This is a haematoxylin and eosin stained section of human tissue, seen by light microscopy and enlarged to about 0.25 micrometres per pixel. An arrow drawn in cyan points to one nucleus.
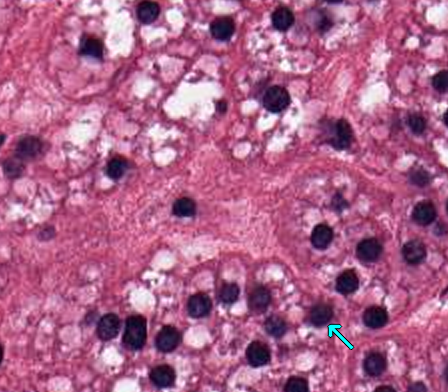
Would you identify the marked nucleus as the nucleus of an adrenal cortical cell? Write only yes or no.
yes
